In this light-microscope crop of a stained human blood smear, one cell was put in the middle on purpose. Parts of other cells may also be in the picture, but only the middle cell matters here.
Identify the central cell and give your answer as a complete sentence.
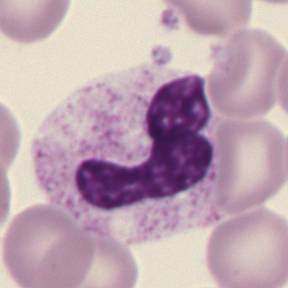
The cell at the middle of the crop is recognized as a neutrophil.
